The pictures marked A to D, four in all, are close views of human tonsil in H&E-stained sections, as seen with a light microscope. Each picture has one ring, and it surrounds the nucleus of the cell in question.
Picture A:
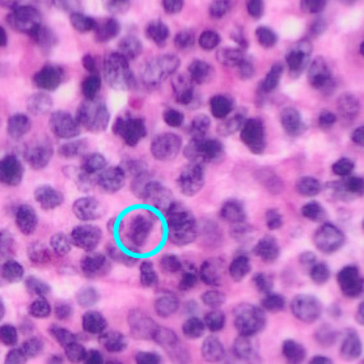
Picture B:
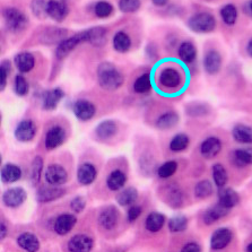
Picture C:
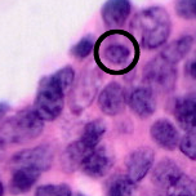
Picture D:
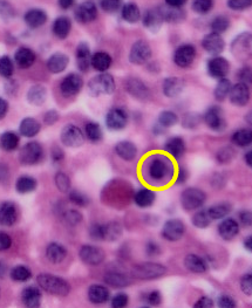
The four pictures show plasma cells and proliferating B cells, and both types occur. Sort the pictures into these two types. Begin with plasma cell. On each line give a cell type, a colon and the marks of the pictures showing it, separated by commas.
plasma cell: B, D
proliferating B cell: A, C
